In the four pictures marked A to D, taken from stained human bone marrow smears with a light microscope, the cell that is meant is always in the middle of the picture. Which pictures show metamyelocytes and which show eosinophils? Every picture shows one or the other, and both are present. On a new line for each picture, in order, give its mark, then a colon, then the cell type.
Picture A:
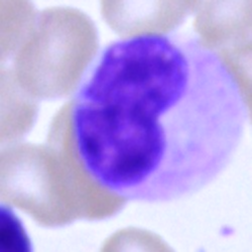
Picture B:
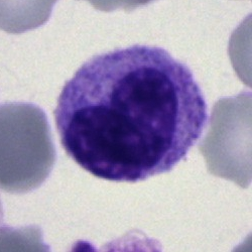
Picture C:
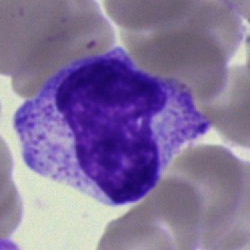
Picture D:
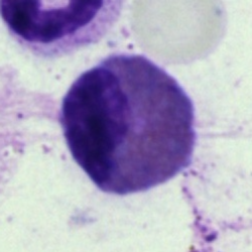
A: metamyelocyte
B: metamyelocyte
C: metamyelocyte
D: eosinophil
